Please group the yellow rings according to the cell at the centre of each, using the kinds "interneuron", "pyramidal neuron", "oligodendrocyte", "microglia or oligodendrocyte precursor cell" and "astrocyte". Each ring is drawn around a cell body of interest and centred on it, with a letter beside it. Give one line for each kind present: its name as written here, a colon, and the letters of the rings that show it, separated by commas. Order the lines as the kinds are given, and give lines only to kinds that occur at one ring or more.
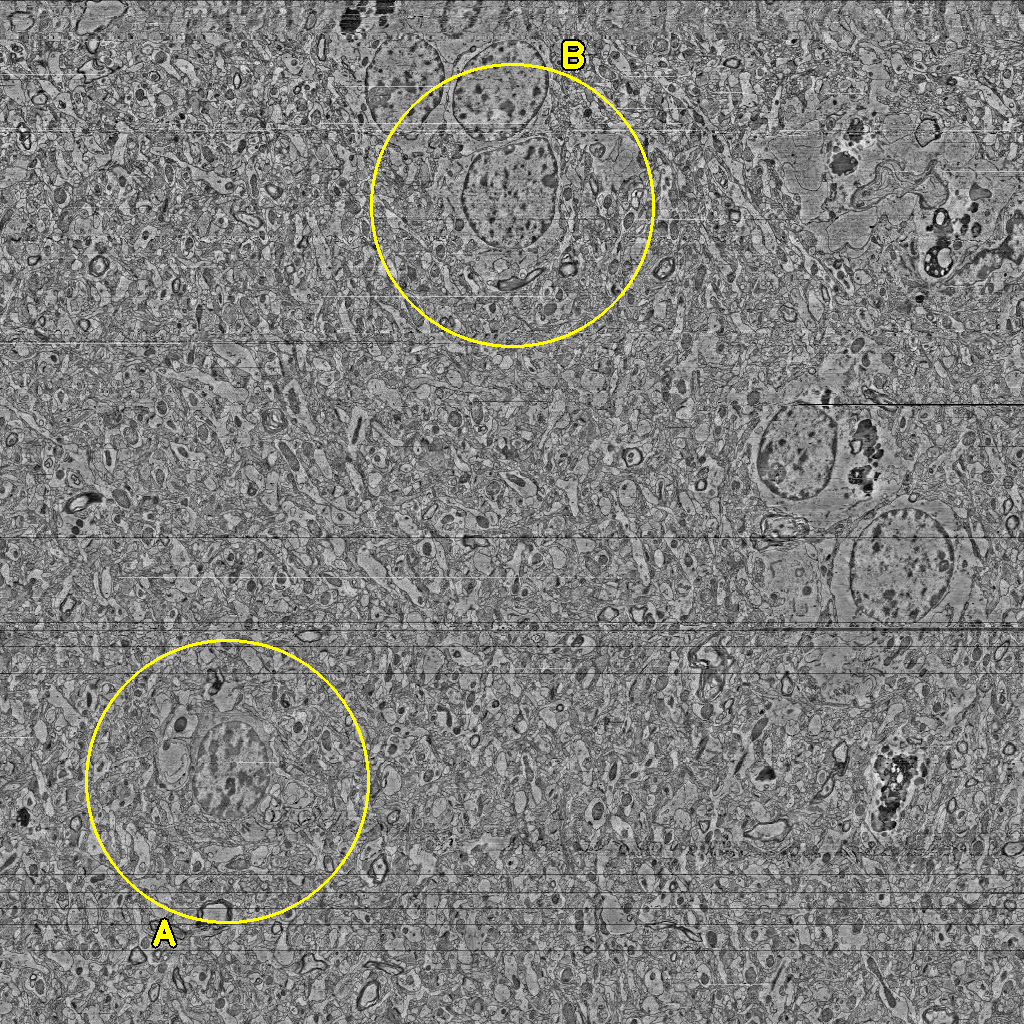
oligodendrocyte: A
astrocyte: B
